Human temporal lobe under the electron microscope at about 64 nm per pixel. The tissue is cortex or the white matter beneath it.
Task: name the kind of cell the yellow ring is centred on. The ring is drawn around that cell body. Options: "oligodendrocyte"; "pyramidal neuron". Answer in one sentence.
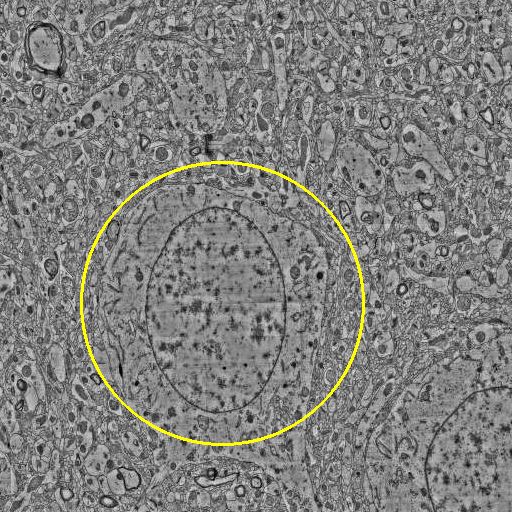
This cell body belongs to a pyramidal neuron.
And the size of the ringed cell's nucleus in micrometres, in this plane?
In this plane the nucleus is about 13 micrometres by 9.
